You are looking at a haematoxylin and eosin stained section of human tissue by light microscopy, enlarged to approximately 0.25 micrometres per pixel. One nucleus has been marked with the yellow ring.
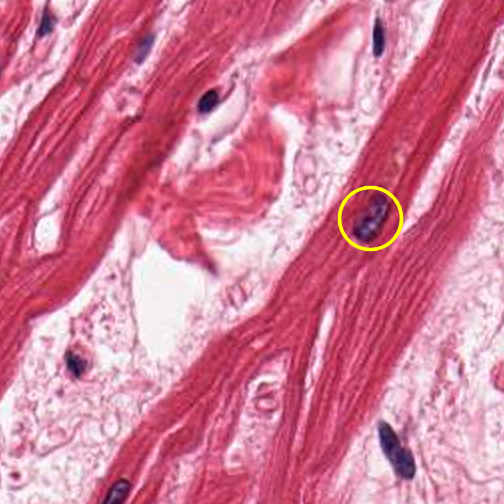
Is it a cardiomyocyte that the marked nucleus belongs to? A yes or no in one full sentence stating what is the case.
Yes, the marked nucleus is identified as that of a cardiomyocyte.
